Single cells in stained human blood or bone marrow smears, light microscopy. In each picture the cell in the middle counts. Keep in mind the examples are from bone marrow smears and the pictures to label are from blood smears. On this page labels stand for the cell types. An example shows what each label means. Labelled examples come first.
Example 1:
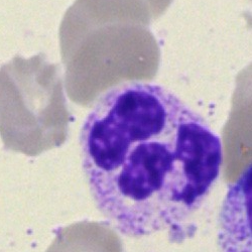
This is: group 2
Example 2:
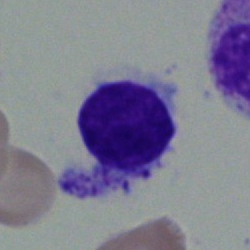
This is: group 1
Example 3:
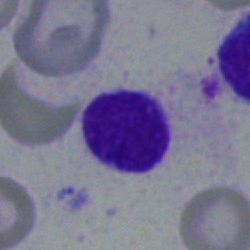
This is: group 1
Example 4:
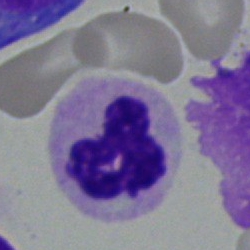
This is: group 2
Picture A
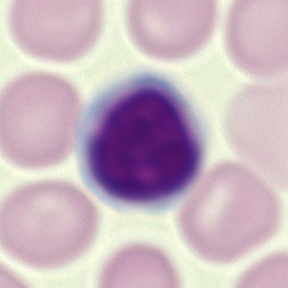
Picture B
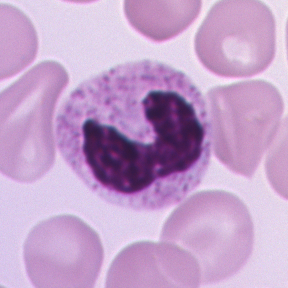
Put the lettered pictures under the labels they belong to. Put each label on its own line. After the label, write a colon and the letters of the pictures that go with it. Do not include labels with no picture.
group 2: B
group 1: A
